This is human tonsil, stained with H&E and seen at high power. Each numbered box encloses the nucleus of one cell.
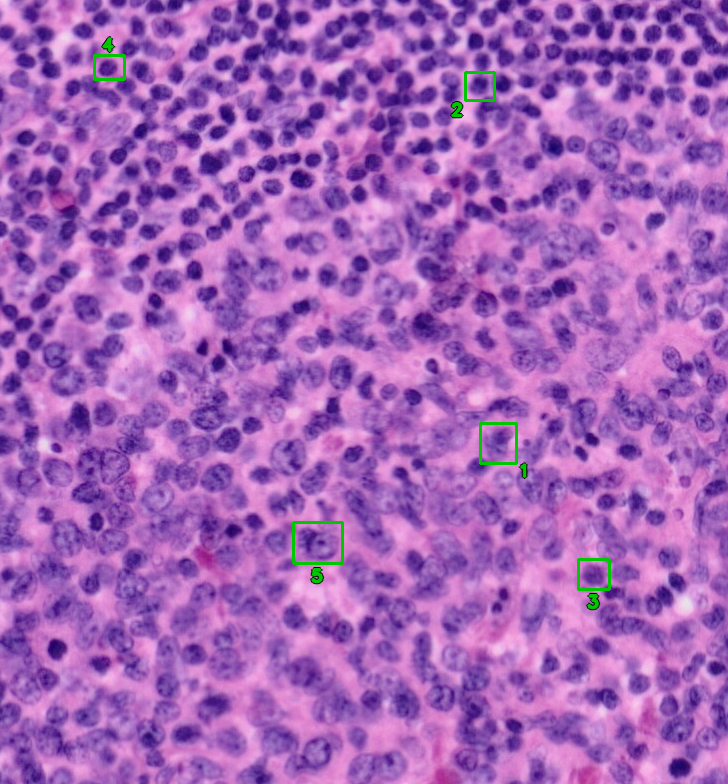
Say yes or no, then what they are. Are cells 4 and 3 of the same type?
No, cell 4 is a small lymphocyte and cell 3 is a proliferating B cell.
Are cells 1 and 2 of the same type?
No, cell 1 is a proliferating B cell and cell 2 is a small lymphocyte.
